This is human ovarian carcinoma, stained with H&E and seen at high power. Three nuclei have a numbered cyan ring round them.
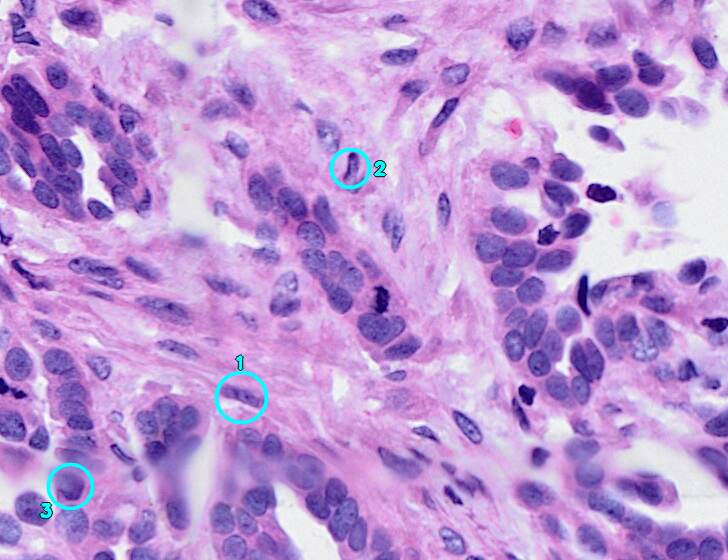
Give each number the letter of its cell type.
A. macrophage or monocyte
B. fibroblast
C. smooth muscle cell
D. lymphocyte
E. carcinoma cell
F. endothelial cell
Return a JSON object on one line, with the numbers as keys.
{"1": "B", "2": "B", "3": "E"}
